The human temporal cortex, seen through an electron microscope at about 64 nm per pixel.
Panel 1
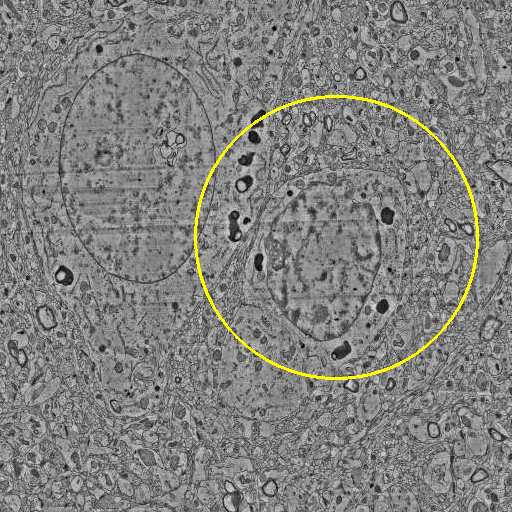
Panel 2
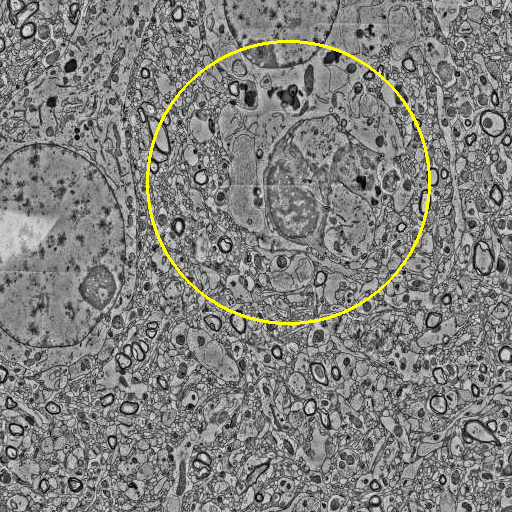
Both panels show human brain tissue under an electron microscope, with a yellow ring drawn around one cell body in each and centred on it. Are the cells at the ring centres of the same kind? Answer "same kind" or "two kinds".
two kinds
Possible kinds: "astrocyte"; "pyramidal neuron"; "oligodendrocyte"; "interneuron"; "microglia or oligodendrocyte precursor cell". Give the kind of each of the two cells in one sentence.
The cell in the second picture is an oligodendrocyte, and that in the first is an interneuron.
